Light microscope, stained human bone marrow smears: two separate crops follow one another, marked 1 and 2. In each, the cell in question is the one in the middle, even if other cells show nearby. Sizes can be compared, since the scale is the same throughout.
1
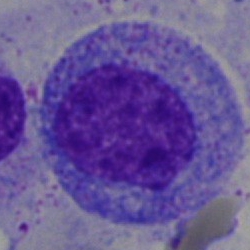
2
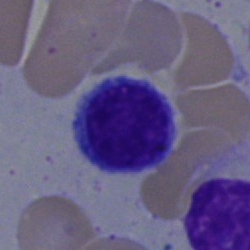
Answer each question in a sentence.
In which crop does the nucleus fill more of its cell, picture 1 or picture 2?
The nucleus fills more of the cell in picture 2 than in picture 1.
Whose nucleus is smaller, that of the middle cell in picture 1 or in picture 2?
It is the nucleus in picture 2; the one in picture 1 has about 2.5 times its area.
